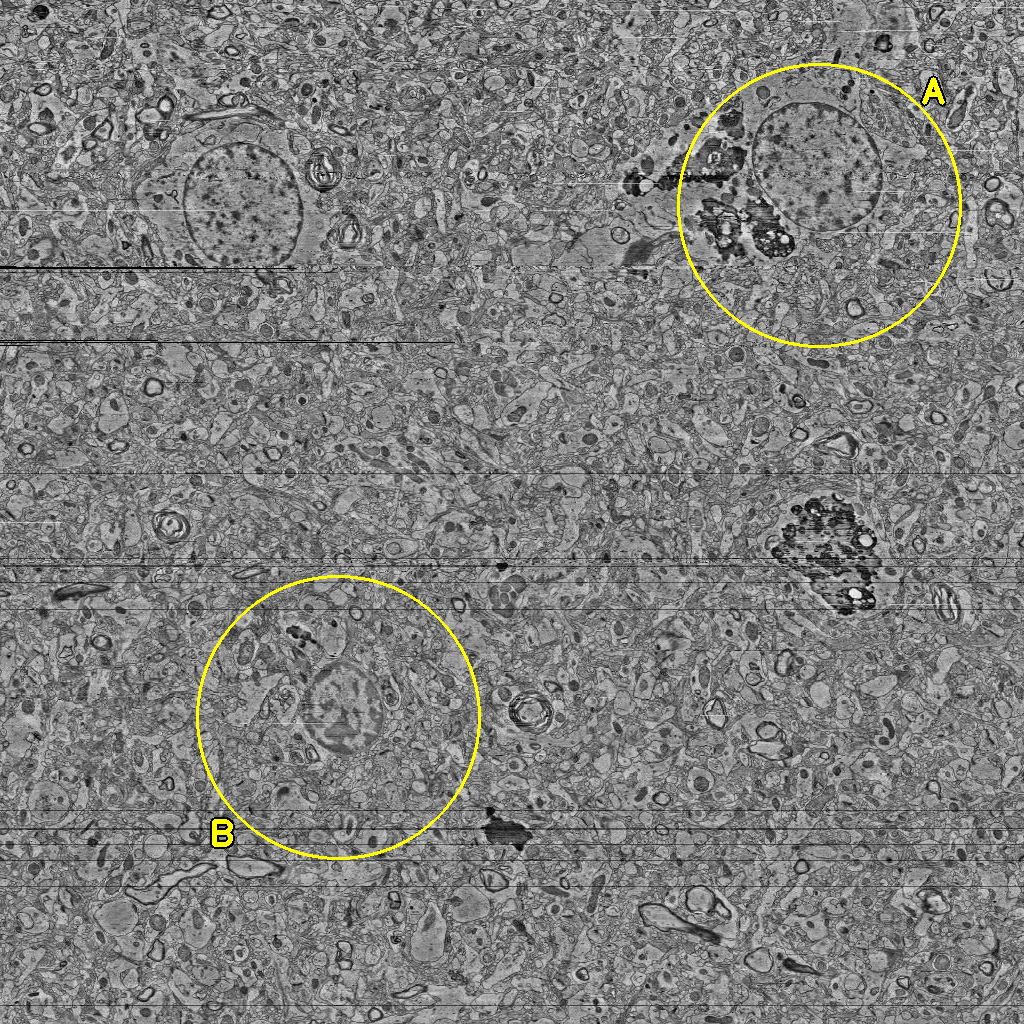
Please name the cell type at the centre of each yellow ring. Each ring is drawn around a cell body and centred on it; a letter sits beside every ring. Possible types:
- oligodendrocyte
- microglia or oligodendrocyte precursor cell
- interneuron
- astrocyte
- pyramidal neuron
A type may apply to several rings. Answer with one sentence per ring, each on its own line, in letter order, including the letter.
Ring A is centred on the cell body of an astrocyte.
Ring B is centred on the cell body of an oligodendrocyte.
